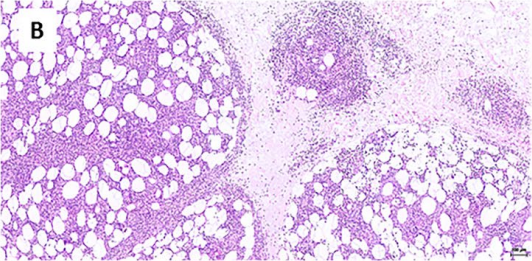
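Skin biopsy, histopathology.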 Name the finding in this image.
panniculitis-like pattern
